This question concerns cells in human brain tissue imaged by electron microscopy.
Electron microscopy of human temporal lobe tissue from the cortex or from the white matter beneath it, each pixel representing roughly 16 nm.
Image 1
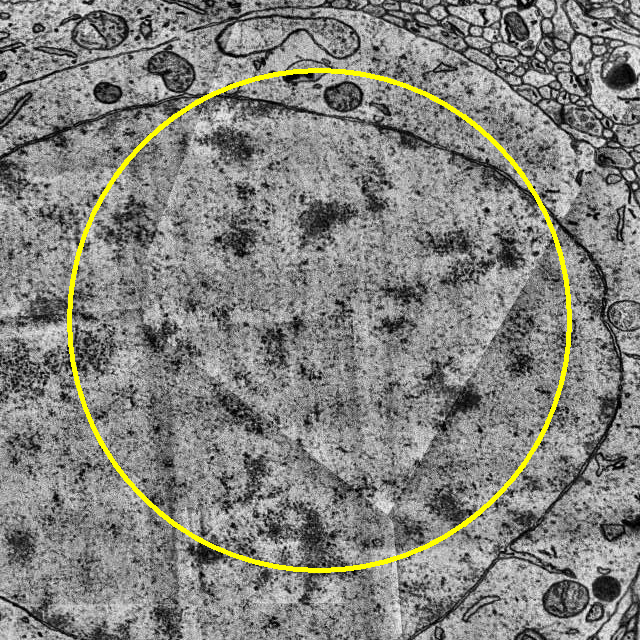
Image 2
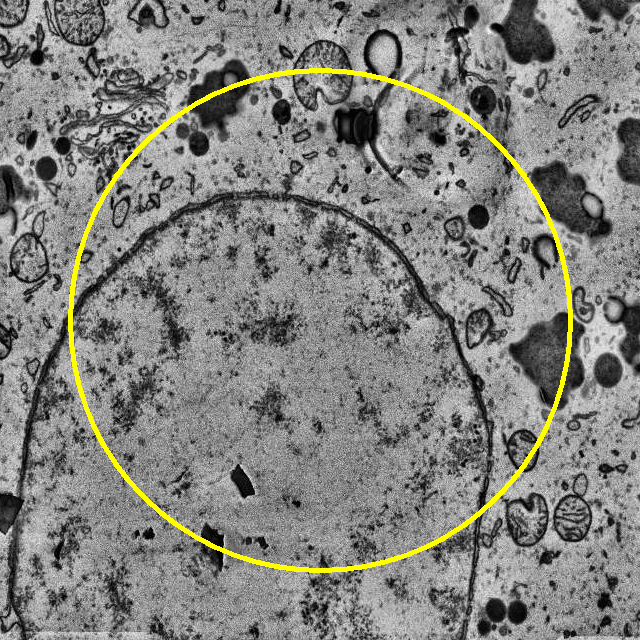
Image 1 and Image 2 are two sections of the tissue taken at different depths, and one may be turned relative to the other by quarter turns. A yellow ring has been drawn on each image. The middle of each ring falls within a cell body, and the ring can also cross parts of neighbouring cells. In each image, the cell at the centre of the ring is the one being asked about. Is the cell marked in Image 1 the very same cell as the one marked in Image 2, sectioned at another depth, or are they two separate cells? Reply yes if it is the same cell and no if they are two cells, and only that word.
no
